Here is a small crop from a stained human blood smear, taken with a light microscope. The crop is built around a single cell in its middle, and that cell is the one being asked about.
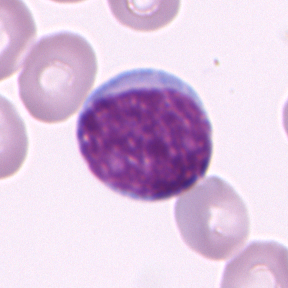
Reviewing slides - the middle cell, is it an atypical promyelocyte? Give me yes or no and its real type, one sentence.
No, the cell in the middle is correctly named a myeloblast, not an atypical promyelocyte.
